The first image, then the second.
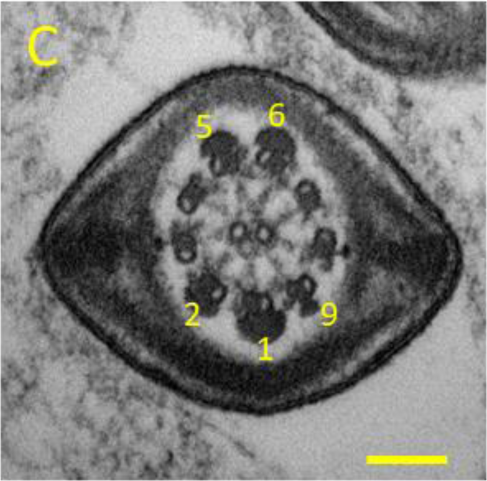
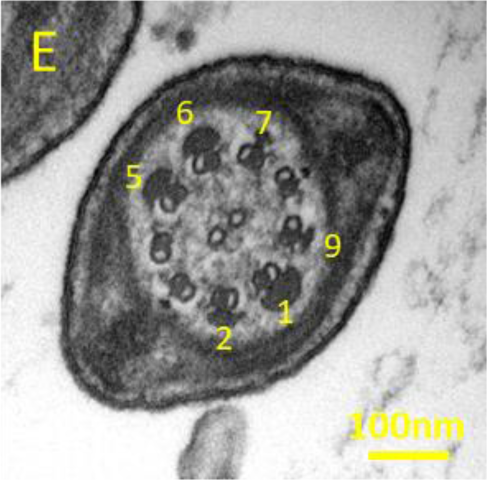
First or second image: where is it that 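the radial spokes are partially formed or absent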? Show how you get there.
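Second image: the space between the outer doublets and the central pair shows few clear spoke-like projections and looks irregular. First image: spoke-like projections run regularly from the outer doublets toward the central pair. So: the second image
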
